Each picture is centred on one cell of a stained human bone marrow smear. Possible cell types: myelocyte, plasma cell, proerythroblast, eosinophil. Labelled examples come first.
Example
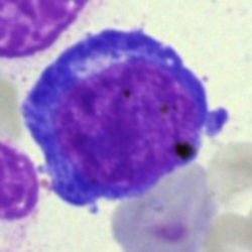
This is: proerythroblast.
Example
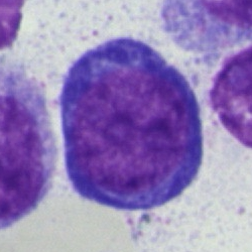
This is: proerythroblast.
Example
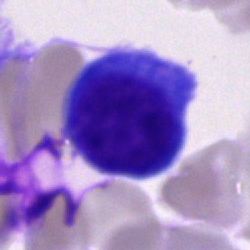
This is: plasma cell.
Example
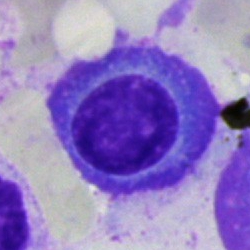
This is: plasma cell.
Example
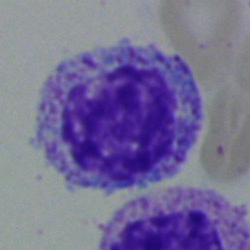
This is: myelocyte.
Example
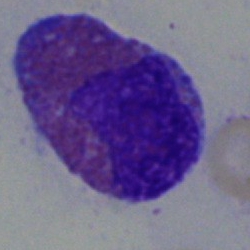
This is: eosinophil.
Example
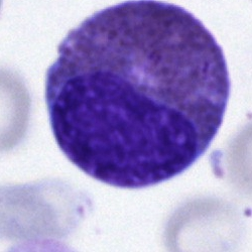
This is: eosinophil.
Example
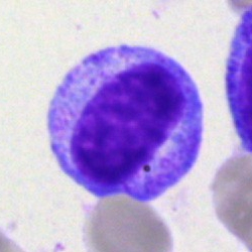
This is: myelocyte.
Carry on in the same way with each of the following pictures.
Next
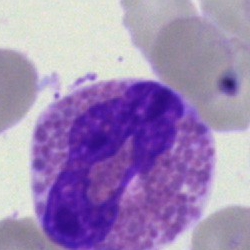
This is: eosinophil.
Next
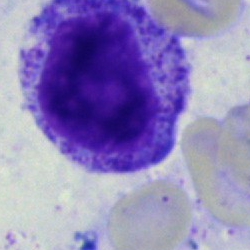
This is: myelocyte.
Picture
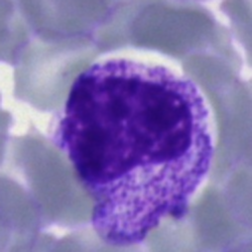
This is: myelocyte.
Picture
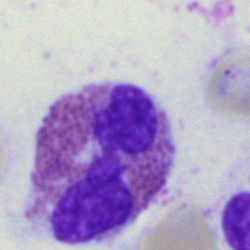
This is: eosinophil.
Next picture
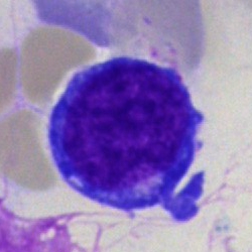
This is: proerythroblast.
